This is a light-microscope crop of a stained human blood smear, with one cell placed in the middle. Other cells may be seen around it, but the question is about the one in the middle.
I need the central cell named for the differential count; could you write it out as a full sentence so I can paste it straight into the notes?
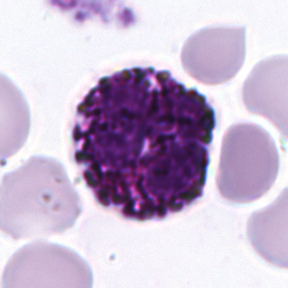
The centered cell in this crop is a basophil.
